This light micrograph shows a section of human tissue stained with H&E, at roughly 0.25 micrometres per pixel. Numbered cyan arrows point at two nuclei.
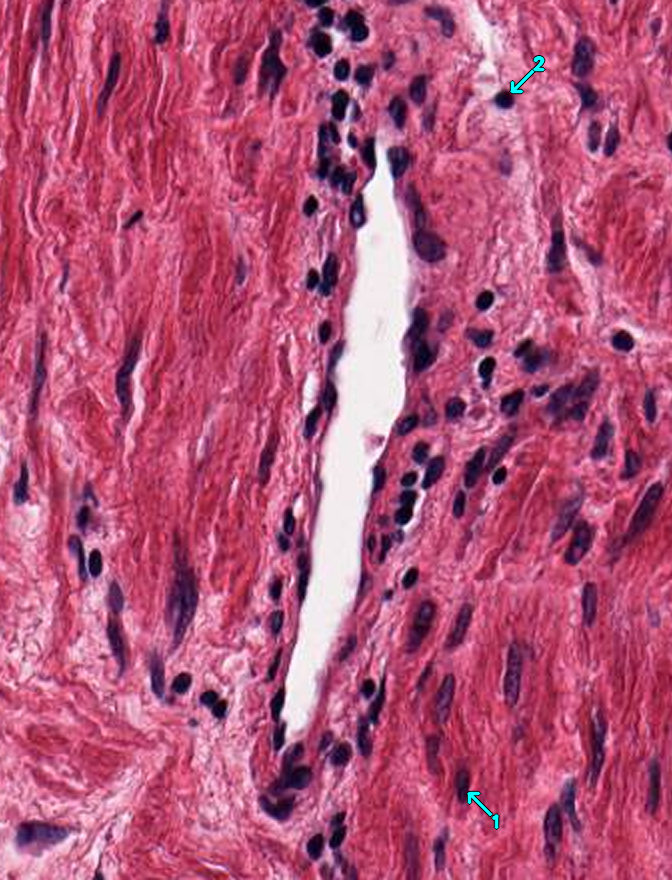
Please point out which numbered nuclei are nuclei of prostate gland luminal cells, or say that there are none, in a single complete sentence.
Among the numbered nuclei there is none that belongs to prostate gland luminal cells.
